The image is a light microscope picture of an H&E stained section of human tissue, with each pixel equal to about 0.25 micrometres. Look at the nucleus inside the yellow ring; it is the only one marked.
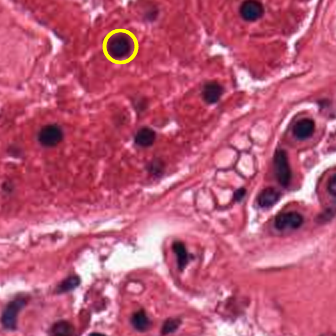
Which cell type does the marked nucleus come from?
proximal tubule cell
